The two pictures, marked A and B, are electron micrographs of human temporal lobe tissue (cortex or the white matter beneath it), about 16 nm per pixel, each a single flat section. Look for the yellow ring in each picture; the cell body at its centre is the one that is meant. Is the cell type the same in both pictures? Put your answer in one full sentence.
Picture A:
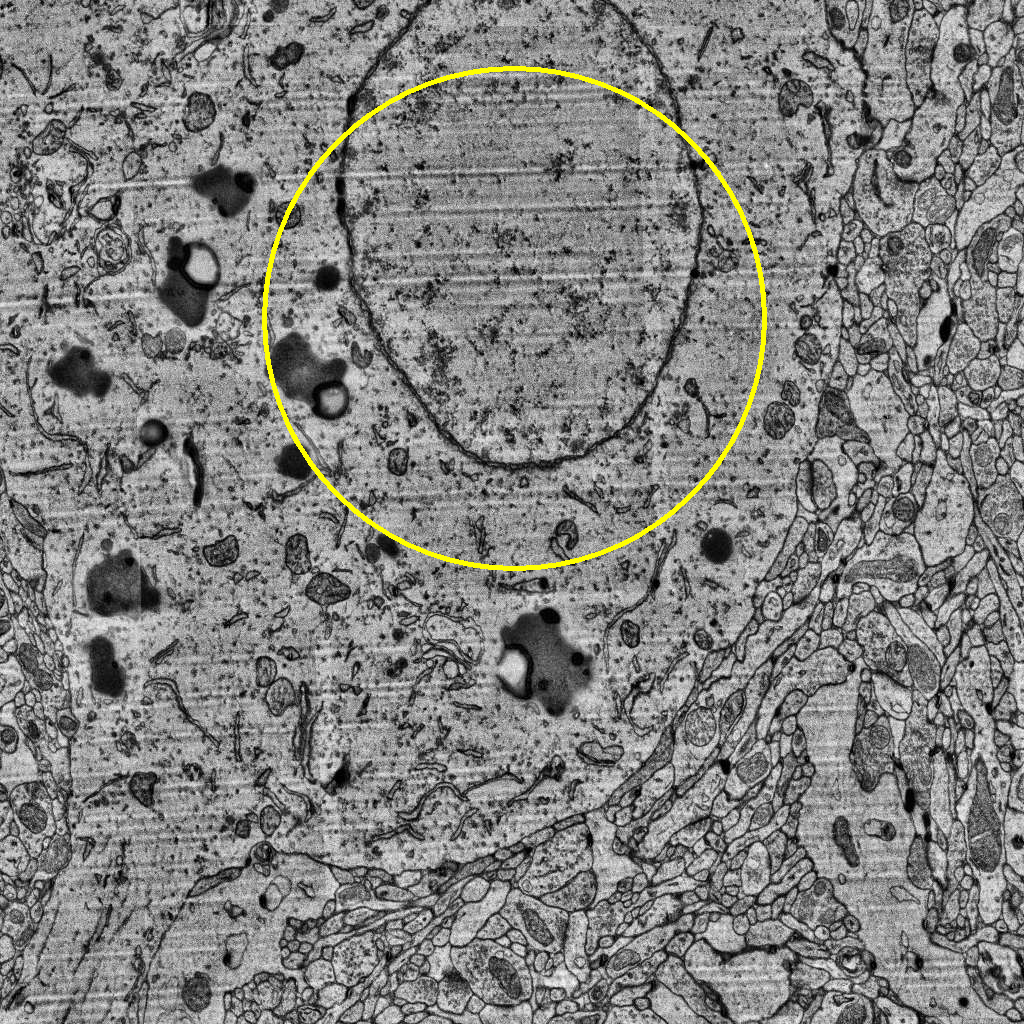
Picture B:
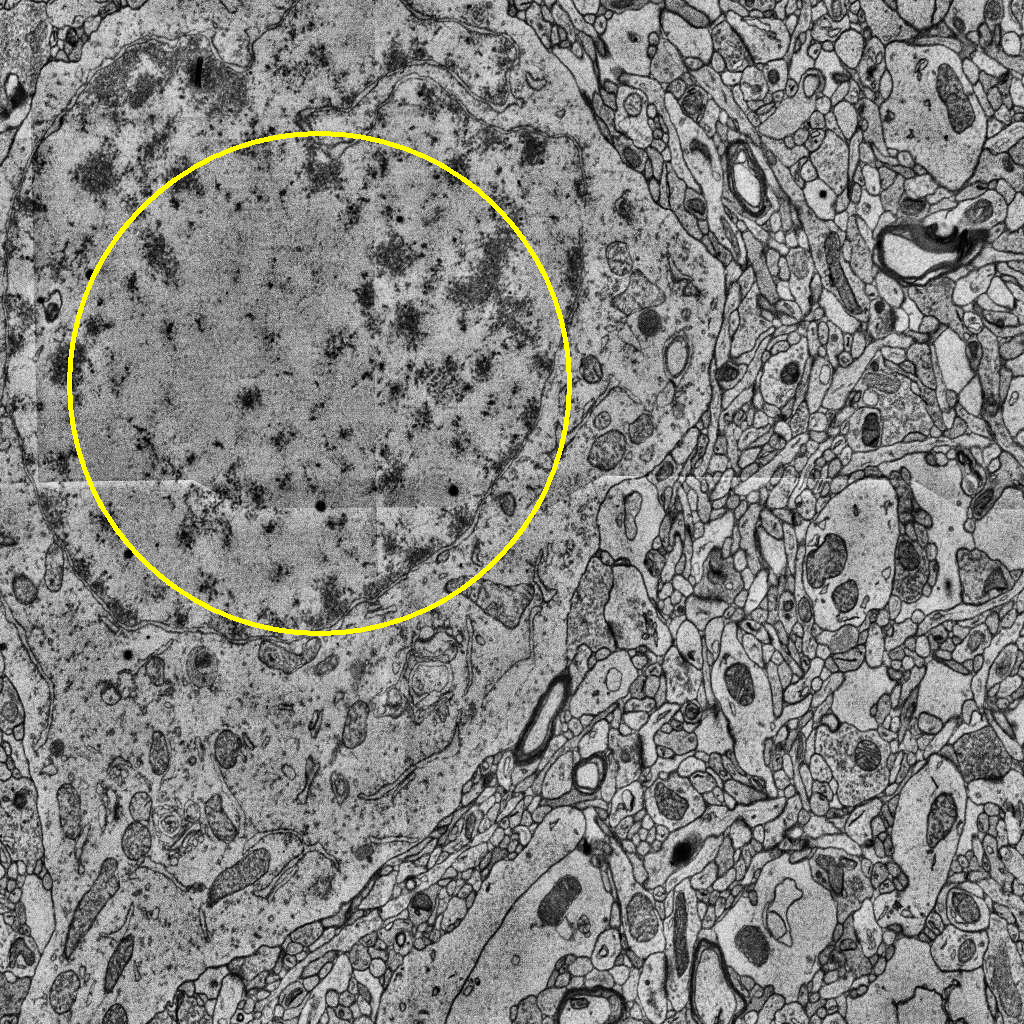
No; the cell in picture A is a pyramidal neuron, while the one in picture B is an interneuron.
